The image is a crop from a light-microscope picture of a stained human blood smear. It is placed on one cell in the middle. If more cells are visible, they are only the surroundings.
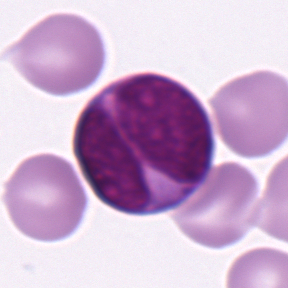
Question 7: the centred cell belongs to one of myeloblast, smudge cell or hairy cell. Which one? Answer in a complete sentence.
The cell at the middle of the frame should be recorded as a myeloblast.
